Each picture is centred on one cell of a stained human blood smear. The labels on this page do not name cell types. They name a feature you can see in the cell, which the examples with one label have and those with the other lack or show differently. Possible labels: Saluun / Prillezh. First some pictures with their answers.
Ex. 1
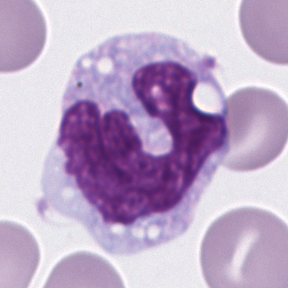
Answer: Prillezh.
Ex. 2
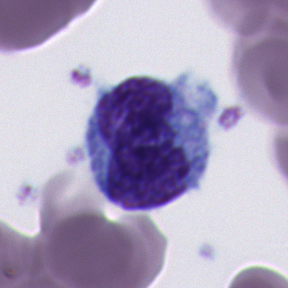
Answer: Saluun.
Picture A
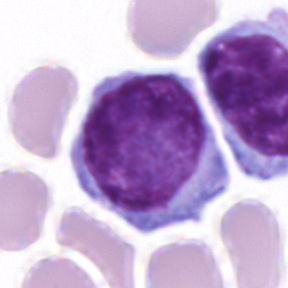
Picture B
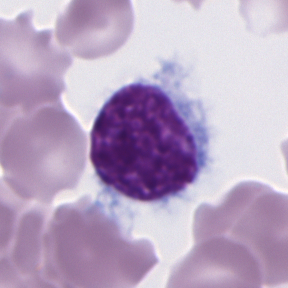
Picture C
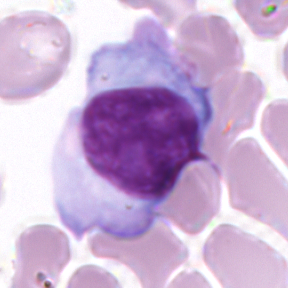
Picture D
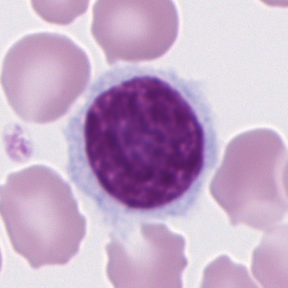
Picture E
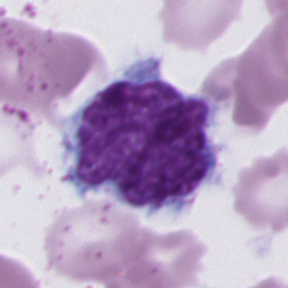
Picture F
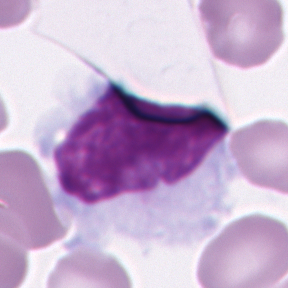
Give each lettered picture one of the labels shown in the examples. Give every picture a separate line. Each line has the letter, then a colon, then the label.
A: Saluun.
B: Saluun.
C: Prillezh.
D: Saluun.
E: Saluun.
F: Prillezh.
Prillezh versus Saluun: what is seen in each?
Prillezh: abundant cytoplasm; Saluun: scant cytoplasm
